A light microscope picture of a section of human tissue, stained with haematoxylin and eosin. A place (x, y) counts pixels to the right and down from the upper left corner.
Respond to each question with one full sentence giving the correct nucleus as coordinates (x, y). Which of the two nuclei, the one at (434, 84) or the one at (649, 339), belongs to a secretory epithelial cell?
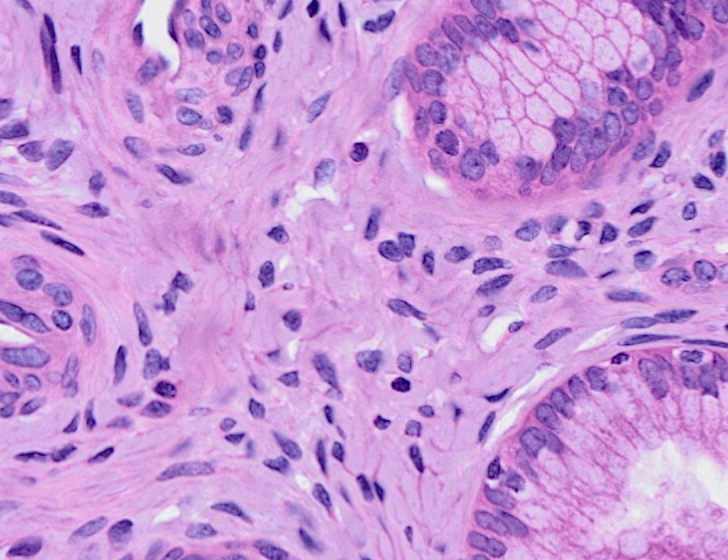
The nucleus found at (434, 84) belongs to a secretory epithelial cell.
